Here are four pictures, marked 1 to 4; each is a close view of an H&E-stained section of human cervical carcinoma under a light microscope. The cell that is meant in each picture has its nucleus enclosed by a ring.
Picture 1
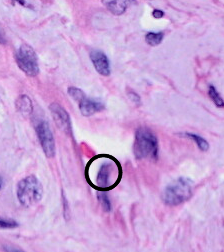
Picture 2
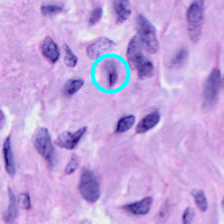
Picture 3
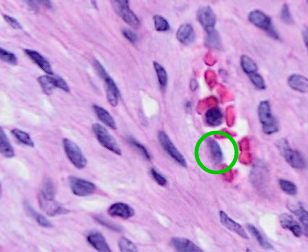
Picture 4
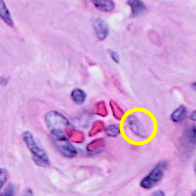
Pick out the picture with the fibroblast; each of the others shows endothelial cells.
2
